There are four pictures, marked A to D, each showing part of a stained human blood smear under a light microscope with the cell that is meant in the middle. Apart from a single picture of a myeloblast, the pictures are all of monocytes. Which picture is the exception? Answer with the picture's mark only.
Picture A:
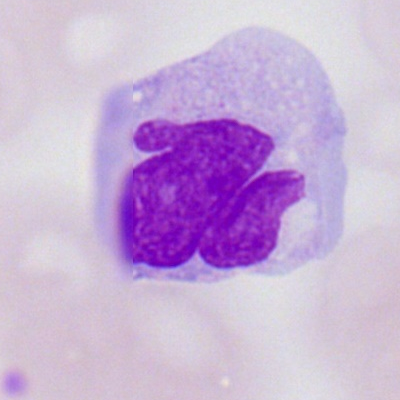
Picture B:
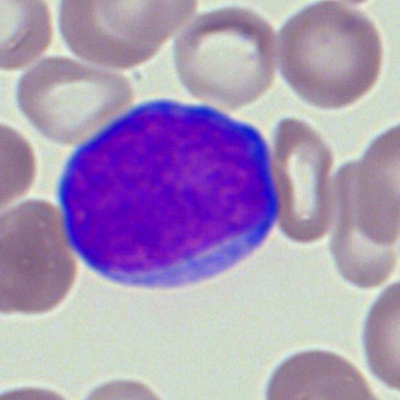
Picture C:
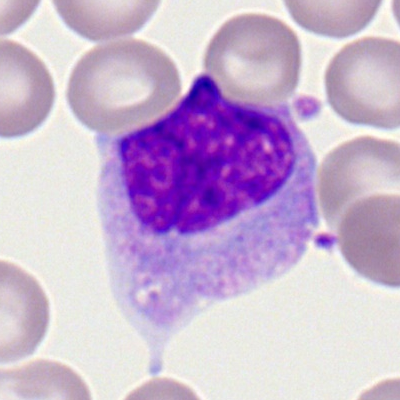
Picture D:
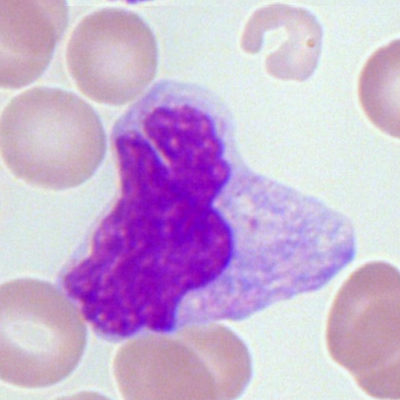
B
